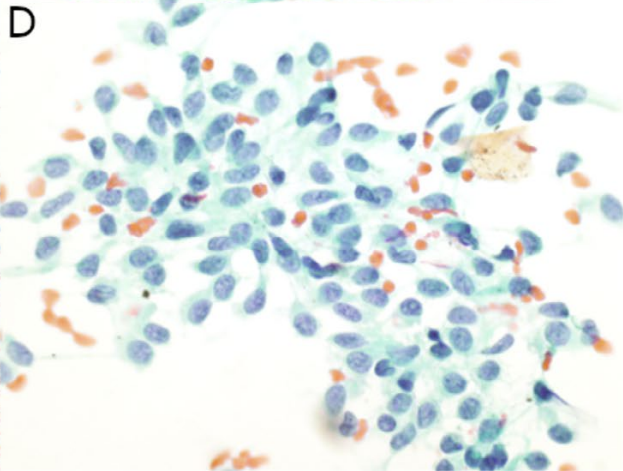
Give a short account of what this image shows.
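Nuclei are oval to short spindle shaped, blue, with fine granular chromatin and mild variation in size and shape. Cytoplasm is scant, pale blue-green, drawn out into wispy fibrillary extensions between the cells. Cells are loosely arranged without glandular formation, some lying apart at the edges of the cluster.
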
